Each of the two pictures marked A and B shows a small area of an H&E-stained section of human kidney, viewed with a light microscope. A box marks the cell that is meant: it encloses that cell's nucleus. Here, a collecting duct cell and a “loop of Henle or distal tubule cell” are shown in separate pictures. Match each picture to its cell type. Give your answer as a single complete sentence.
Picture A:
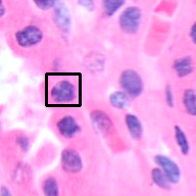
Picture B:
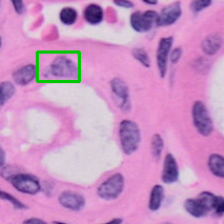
Picture A shows a “loop of Henle or distal tubule cell” and picture B shows a collecting duct cell.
